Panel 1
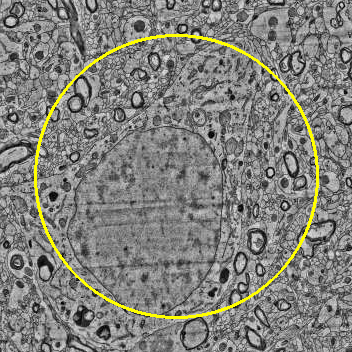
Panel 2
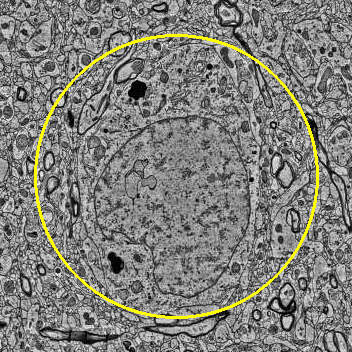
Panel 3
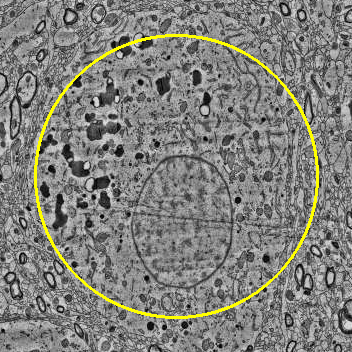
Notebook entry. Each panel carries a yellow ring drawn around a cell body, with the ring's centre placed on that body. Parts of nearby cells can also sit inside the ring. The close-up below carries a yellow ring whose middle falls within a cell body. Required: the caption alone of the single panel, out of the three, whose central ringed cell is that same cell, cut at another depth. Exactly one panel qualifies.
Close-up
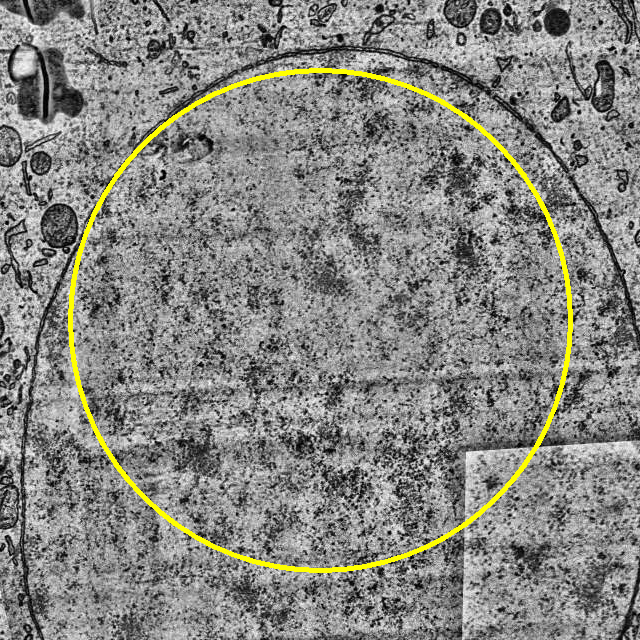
Panel 3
